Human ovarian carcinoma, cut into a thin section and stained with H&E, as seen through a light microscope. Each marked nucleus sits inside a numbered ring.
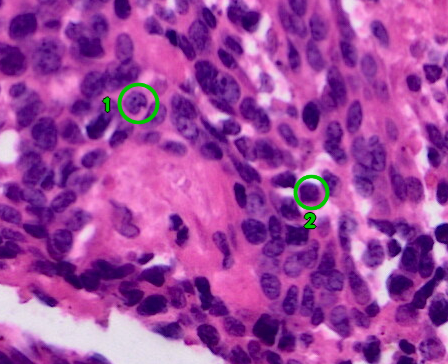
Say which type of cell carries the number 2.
carcinoma cell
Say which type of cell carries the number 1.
macrophage or monocyte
